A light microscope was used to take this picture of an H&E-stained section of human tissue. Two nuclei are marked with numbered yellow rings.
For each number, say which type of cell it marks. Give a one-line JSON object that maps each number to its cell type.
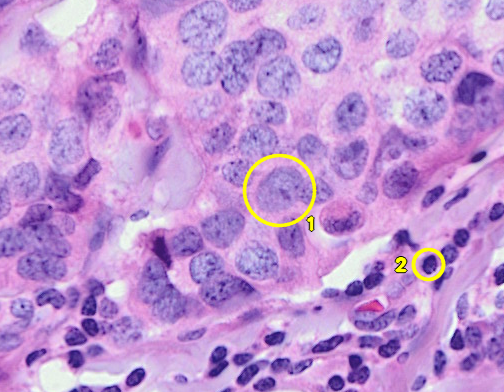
{"1": "carcinoma cell", "2": "lymphocyte"}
